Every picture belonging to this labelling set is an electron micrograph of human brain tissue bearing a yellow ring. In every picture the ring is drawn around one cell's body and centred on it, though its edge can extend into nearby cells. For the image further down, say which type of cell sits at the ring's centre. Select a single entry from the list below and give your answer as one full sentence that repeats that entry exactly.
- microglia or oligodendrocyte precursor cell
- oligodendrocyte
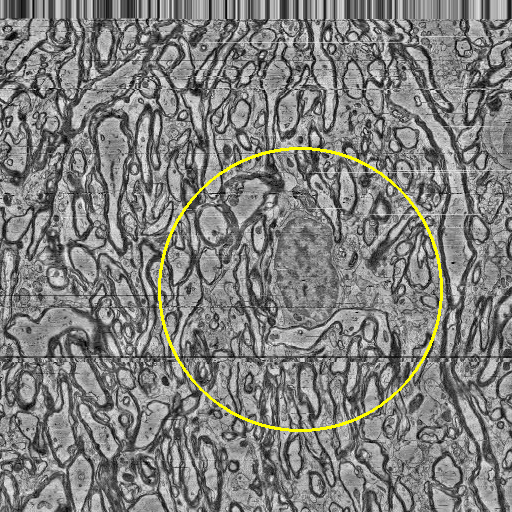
In the picture, an oligodendrocyte is the cell at the centre of the yellow ring.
